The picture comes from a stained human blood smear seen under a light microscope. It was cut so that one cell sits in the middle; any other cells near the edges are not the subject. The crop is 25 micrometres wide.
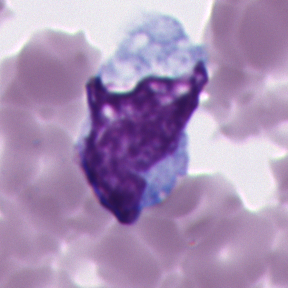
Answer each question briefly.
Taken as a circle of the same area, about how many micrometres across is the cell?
14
